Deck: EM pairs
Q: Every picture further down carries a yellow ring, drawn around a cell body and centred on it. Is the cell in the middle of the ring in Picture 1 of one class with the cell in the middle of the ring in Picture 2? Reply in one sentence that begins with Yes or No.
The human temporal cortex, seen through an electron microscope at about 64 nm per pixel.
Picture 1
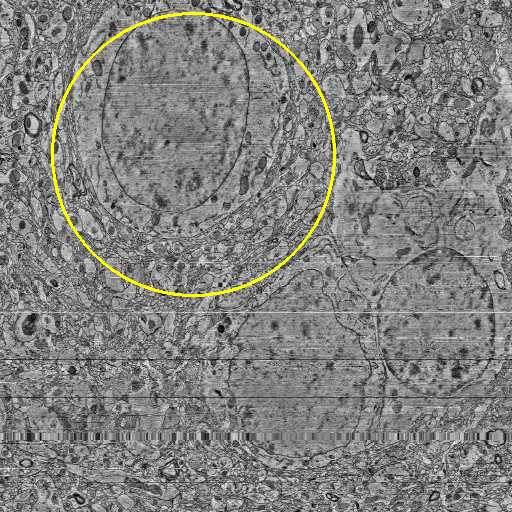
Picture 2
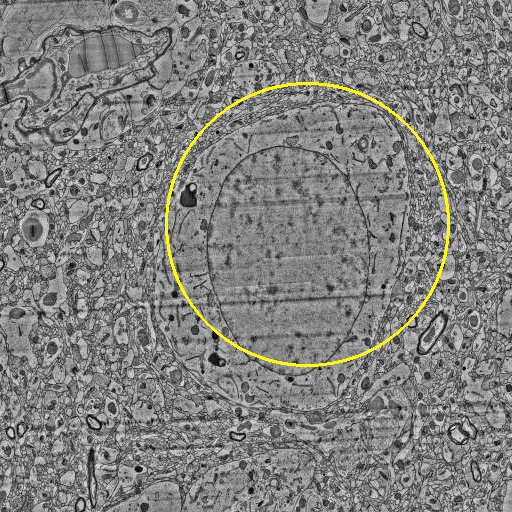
Yes, the cell centred in the ring of Picture 1 and the one in Picture 2 belong to one class.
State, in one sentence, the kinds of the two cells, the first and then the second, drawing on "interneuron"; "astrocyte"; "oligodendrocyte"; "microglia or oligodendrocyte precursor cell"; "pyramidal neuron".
The second cell is a pyramidal neuron, just as the first is.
